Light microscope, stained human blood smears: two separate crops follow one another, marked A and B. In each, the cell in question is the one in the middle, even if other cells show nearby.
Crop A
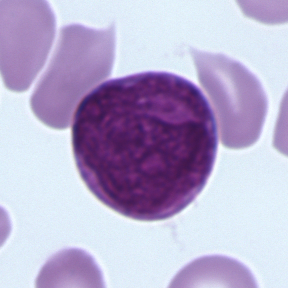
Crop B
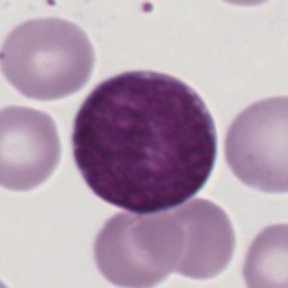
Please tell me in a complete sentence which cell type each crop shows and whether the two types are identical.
Yes, in the middle of both crops, blasts are shown.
